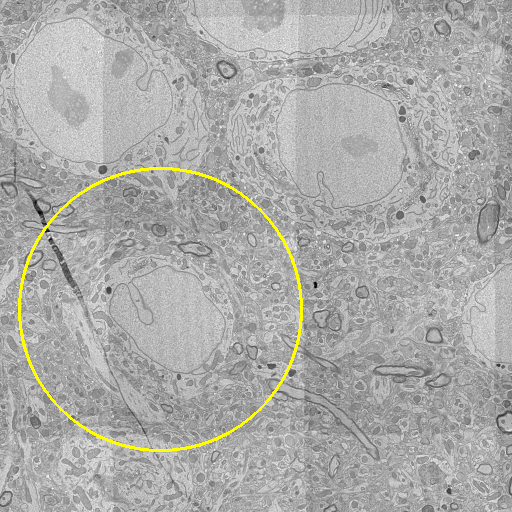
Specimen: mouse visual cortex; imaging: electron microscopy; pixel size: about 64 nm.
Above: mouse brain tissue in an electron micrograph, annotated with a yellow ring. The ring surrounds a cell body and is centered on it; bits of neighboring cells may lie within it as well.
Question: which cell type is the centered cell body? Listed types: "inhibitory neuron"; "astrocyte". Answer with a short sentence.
The centered cell body is an inhibitory neuron.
